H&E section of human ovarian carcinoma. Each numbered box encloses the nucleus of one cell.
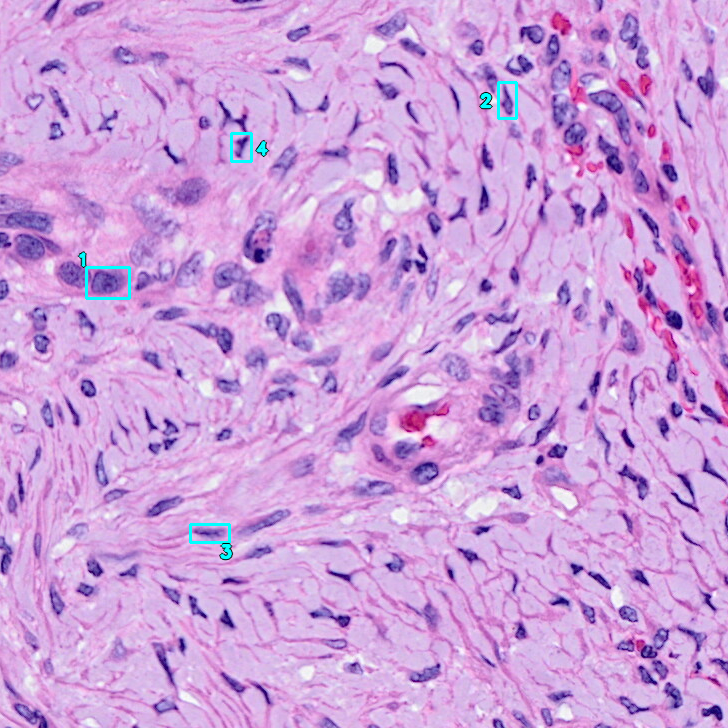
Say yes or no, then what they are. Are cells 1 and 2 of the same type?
No, cell 1 is a carcinoma cell and cell 2 is a fibroblast.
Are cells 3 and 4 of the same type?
Yes, both are fibroblasts.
